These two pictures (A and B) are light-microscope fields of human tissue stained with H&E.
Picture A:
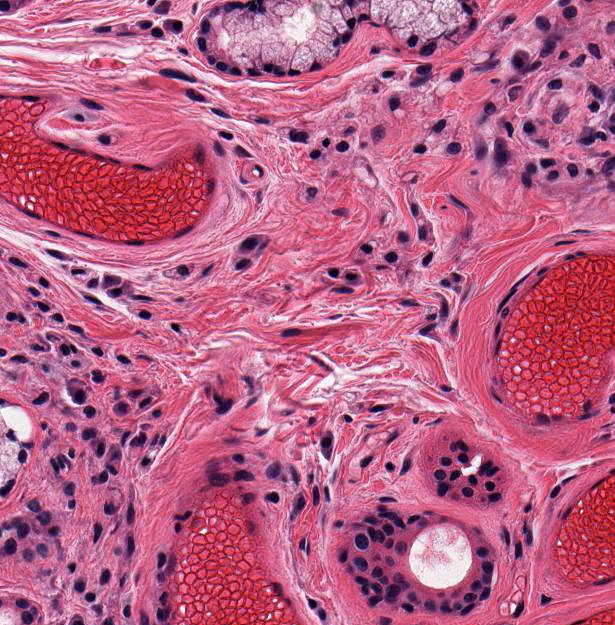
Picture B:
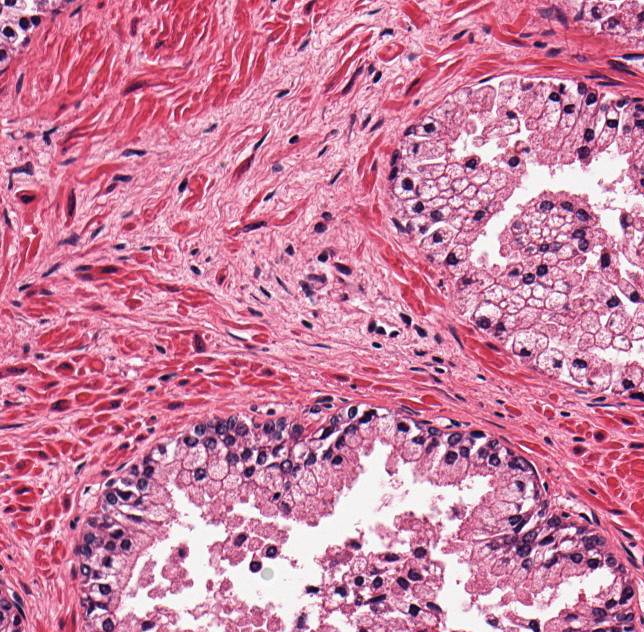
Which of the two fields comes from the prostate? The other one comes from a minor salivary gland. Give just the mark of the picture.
B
